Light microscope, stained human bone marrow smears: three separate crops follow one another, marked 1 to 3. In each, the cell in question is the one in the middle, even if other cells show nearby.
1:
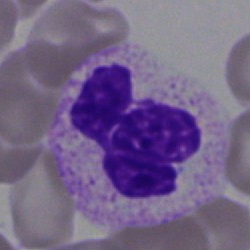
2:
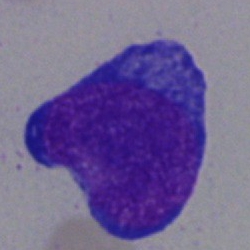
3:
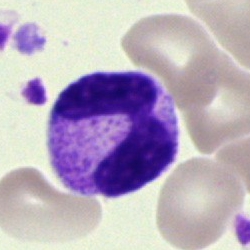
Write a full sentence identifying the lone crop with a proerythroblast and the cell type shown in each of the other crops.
The cell centred in crop 2 is a proerythroblast; by contrast, crop 1 is a segmented neutrophil and crop 3 is a band neutrophil.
